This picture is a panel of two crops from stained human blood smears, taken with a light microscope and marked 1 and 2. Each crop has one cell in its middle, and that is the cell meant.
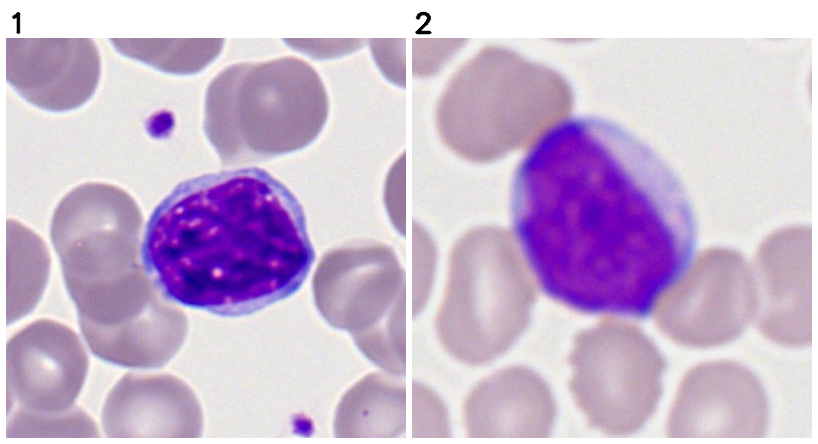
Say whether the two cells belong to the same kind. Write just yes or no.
no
